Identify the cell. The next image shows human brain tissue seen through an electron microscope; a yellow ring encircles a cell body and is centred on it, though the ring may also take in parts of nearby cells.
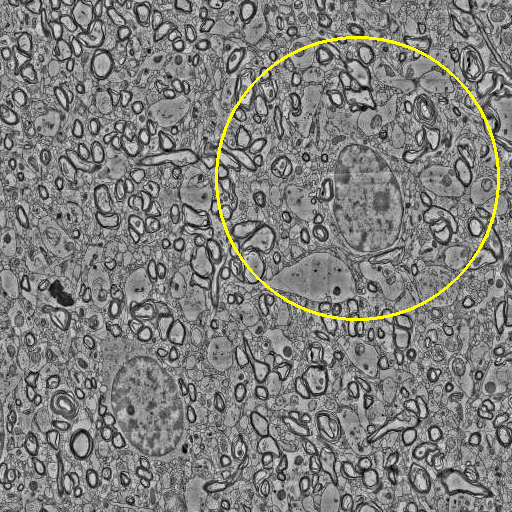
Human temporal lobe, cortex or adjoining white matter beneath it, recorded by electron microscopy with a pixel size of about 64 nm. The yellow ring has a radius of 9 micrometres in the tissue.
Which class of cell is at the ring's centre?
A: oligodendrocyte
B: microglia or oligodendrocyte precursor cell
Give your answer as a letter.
B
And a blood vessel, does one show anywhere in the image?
No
